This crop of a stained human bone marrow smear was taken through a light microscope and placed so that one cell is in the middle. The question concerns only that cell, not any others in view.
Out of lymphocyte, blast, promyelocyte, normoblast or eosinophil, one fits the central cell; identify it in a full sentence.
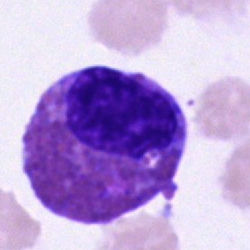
At the middle of the frame sits an eosinophil.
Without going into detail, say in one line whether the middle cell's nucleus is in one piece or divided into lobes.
What stands out is a nucleus forming one compact round, oval or kidney-shaped mass.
